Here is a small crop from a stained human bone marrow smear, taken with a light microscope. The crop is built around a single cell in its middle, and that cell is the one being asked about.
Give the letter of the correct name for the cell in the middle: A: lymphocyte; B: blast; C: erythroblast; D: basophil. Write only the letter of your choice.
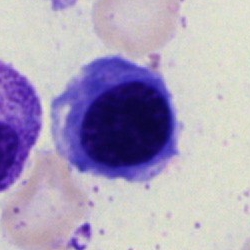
C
